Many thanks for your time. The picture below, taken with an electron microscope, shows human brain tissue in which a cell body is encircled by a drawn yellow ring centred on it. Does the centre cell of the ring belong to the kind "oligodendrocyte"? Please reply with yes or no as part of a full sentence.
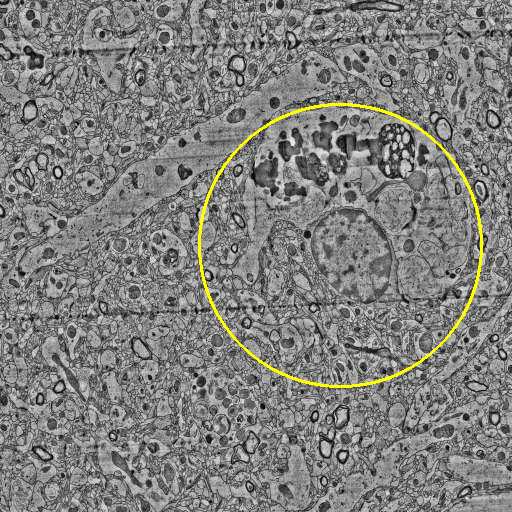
Yes, in the picture the cell at the ring's centre is of the kind you named.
